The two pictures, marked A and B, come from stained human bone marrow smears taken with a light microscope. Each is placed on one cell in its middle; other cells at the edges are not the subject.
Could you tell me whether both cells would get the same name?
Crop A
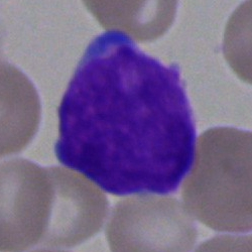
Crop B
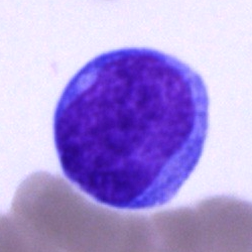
yes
